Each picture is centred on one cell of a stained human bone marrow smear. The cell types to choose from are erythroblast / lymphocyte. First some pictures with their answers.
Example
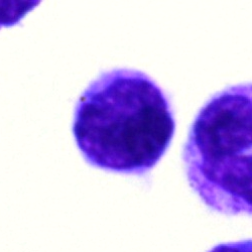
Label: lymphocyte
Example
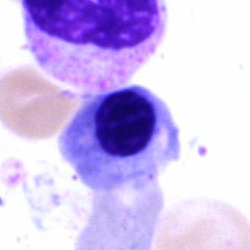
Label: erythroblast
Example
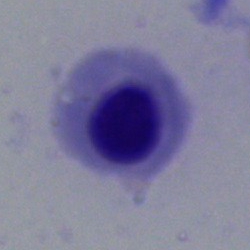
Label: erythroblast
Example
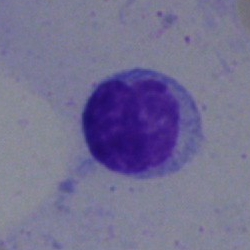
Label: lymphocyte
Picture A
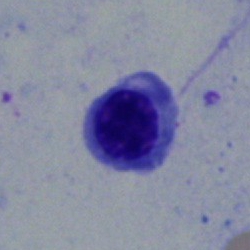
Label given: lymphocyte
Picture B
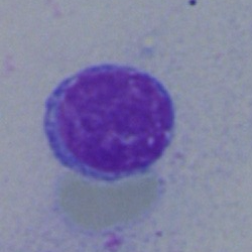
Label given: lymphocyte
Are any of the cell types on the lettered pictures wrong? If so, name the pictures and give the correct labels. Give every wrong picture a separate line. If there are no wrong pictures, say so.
A: change lymphocyte to erythroblast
